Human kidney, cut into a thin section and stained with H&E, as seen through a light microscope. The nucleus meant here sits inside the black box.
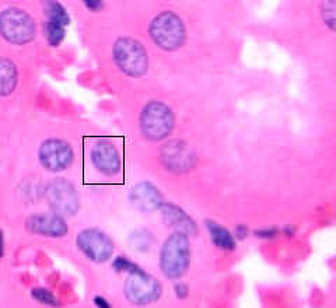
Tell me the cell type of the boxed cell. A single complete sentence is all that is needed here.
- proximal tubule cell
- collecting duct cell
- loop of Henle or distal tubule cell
It is as a collecting duct cell that the boxed cell is recorded.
